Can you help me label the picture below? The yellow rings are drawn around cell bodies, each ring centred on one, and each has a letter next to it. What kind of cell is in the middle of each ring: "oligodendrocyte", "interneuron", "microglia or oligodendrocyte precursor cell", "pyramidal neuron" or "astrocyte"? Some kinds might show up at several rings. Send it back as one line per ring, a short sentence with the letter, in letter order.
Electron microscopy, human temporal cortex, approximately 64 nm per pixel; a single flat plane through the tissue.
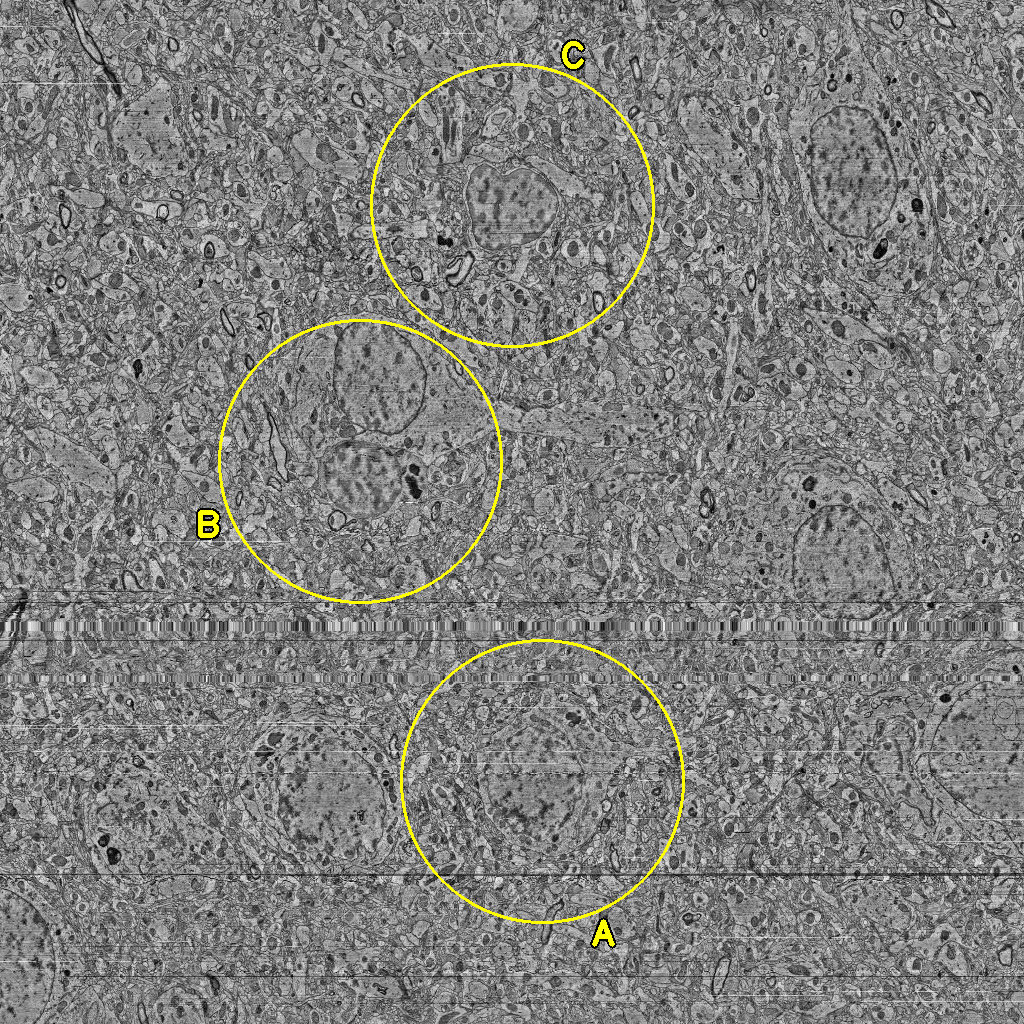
Ring A has an interneuron in the middle.
Ring B has an oligodendrocyte in the middle.
Ring C has a microglial cell or oligodendrocyte precursor cell in the middle.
